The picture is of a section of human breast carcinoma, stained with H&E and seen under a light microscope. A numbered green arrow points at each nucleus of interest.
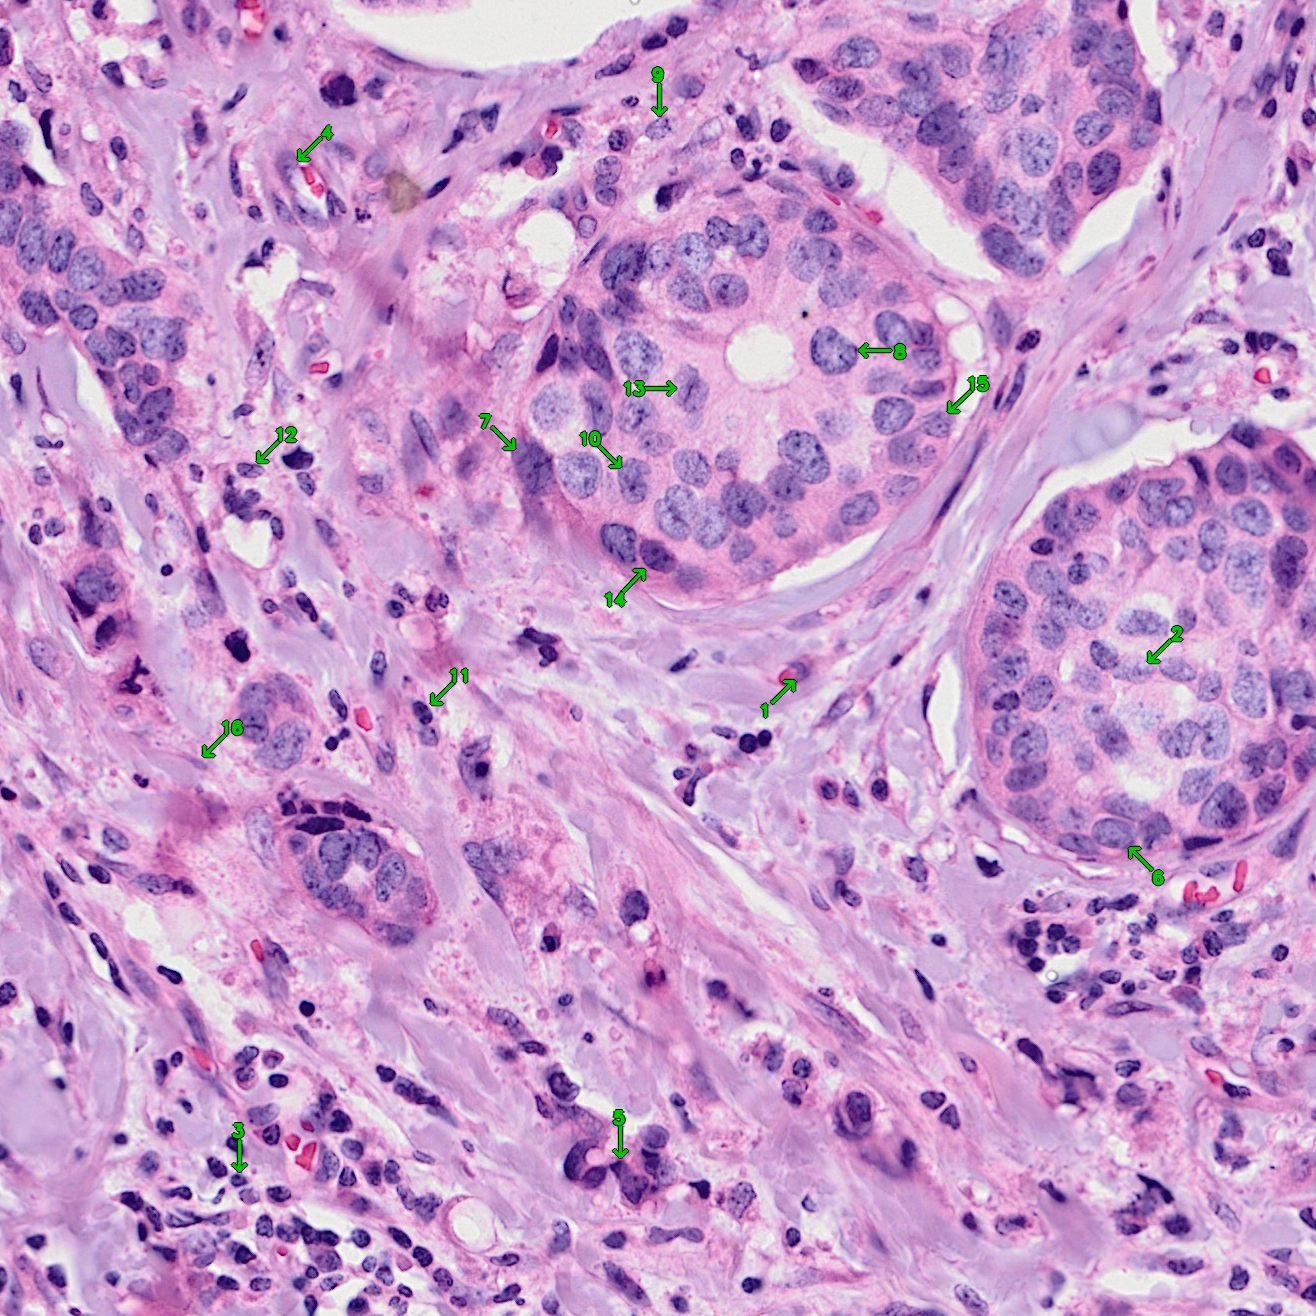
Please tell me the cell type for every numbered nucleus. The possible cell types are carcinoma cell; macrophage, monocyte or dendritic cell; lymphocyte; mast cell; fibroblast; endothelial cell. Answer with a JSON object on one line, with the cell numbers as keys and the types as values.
{"1": "endothelial cell", "2": "carcinoma cell", "3": "lymphocyte", "4": "endothelial cell", "5": "carcinoma cell", "6": "carcinoma cell", "7": "carcinoma cell", "8": "carcinoma cell", "9": "macrophage, monocyte or dendritic cell", "10": "carcinoma cell", "11": "lymphocyte", "12": "mast cell", "13": "carcinoma cell", "14": "carcinoma cell", "15": "carcinoma cell", "16": "fibroblast"}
